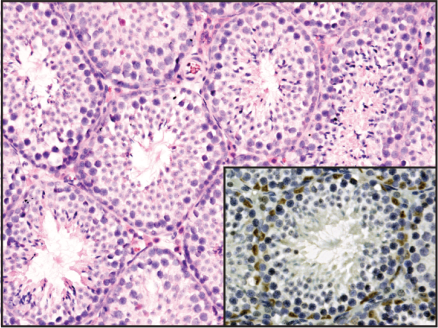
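Near the lumen, elongated dark heads of late germ cells and pink flagellar material fill the centre. A thin boundary layer with flattened nuclei surrounds each tubule, and narrow interstitial spaces contain a few cells and red blood cells. The inset shows a tubule in which brown nuclei are spaced along the basal part of the epithelium, with blue-counterstained nuclei elsewhere.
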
